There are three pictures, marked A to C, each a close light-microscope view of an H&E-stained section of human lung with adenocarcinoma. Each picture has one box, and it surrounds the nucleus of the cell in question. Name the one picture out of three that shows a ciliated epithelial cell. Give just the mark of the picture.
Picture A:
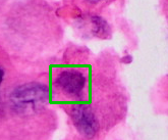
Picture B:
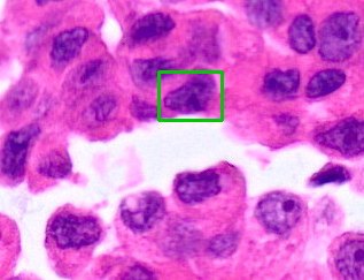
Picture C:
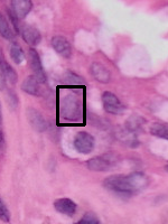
C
